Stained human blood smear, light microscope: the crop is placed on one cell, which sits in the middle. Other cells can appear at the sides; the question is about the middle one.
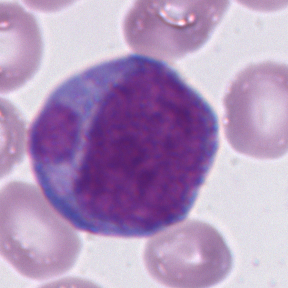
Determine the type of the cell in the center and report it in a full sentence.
The crop centres on a single cell, and that cell is a promyelocyte.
